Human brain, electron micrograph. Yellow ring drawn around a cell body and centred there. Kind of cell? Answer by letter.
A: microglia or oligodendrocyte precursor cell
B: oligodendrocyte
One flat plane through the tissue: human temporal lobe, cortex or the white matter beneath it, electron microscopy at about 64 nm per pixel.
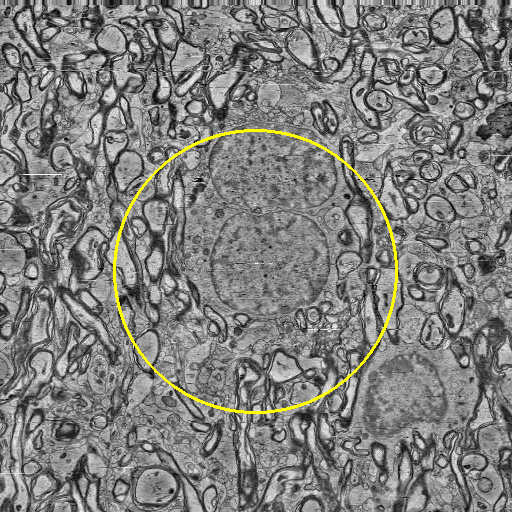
B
